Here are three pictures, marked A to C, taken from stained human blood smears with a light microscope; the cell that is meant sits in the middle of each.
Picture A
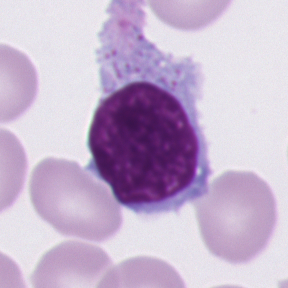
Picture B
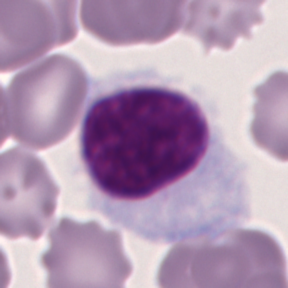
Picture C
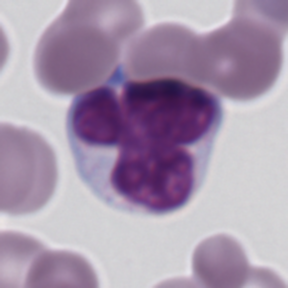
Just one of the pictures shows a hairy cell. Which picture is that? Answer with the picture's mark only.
B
